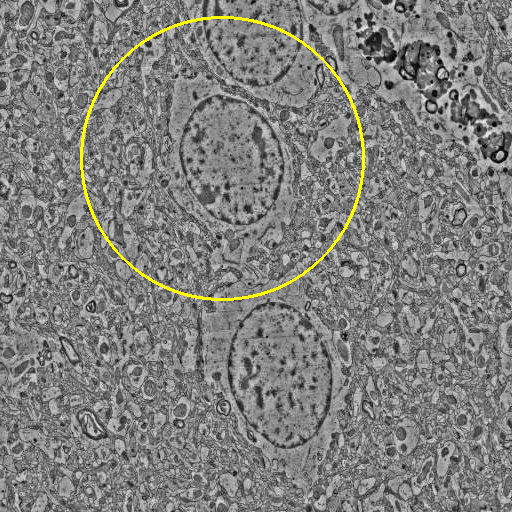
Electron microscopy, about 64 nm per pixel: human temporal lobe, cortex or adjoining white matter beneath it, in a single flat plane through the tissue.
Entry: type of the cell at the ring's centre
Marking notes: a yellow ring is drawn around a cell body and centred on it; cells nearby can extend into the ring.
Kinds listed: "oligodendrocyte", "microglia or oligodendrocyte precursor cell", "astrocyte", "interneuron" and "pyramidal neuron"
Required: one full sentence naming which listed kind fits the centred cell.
My entry names an astrocyte as the cell whose body the yellow ring centres on.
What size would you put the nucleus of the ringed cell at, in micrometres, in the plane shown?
Approximately 8 by 6 micrometers in this plane.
